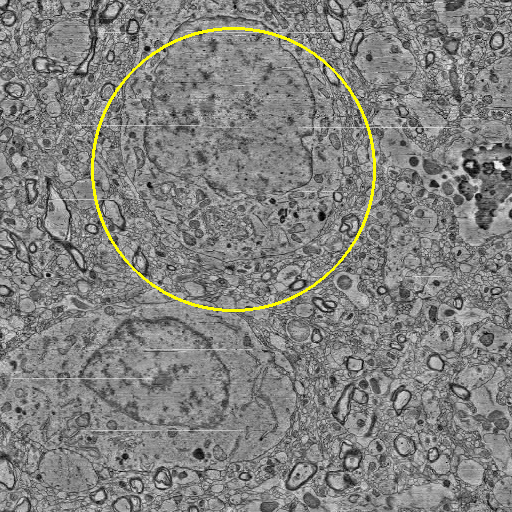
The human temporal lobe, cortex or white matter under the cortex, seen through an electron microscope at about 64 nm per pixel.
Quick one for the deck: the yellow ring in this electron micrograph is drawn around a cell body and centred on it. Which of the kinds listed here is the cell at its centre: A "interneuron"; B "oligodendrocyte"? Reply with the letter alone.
A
